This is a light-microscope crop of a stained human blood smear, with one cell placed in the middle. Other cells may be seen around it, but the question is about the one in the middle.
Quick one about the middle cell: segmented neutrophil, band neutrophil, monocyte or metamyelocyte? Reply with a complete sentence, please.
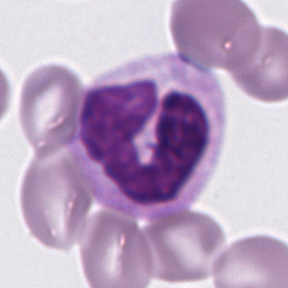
Framed in the middle of the crop is a band neutrophil.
